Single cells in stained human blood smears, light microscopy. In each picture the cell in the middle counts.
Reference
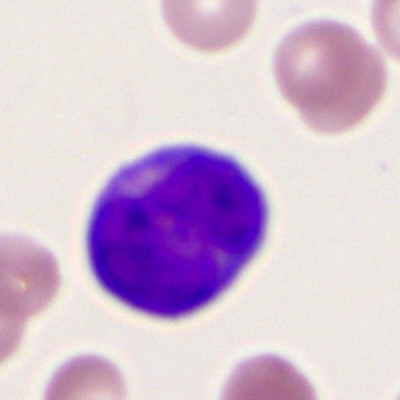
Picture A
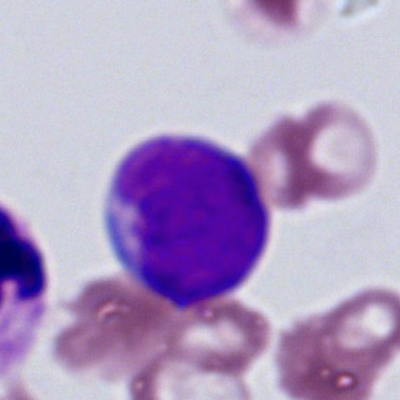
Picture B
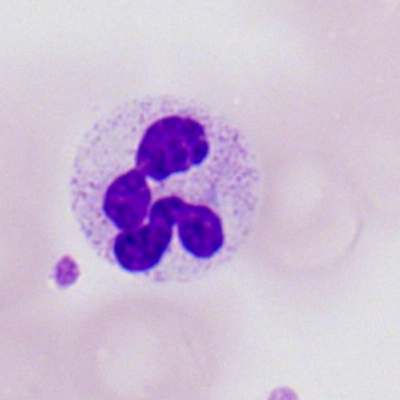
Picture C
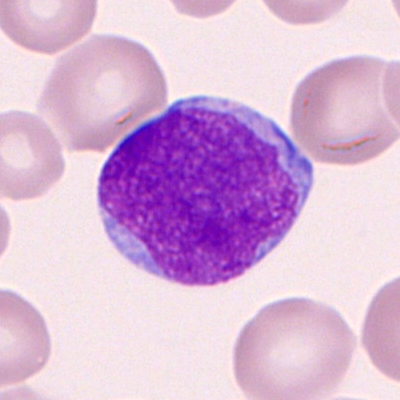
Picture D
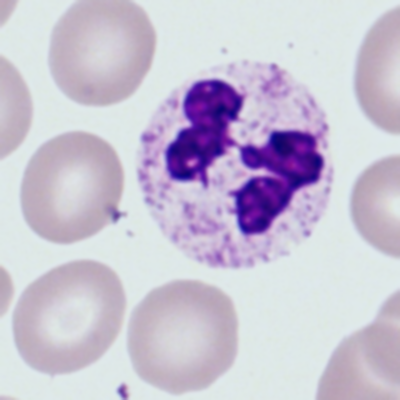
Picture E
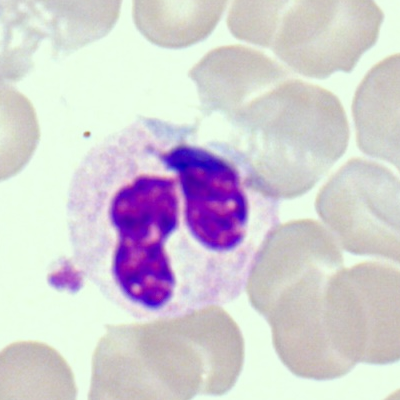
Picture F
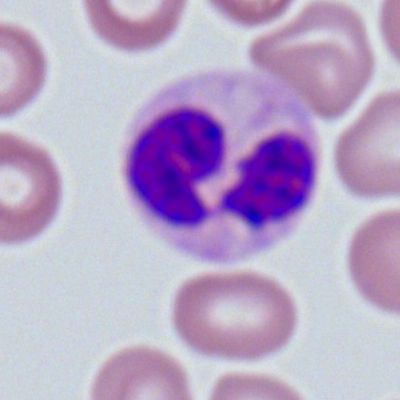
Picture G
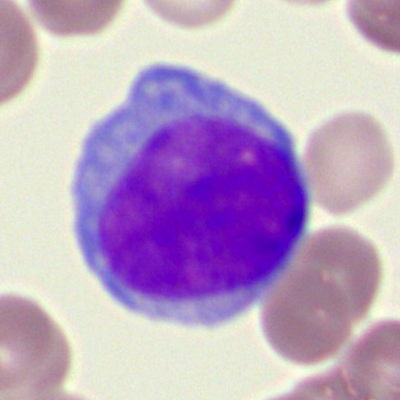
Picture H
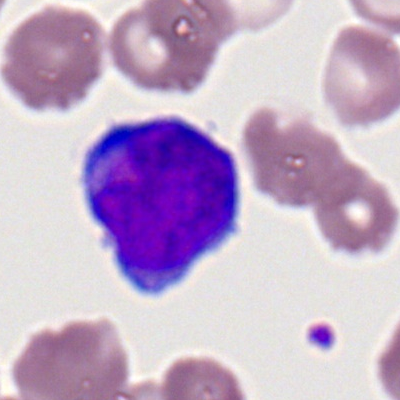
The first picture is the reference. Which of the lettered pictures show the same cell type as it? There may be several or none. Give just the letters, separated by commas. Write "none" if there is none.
A, C, G, H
